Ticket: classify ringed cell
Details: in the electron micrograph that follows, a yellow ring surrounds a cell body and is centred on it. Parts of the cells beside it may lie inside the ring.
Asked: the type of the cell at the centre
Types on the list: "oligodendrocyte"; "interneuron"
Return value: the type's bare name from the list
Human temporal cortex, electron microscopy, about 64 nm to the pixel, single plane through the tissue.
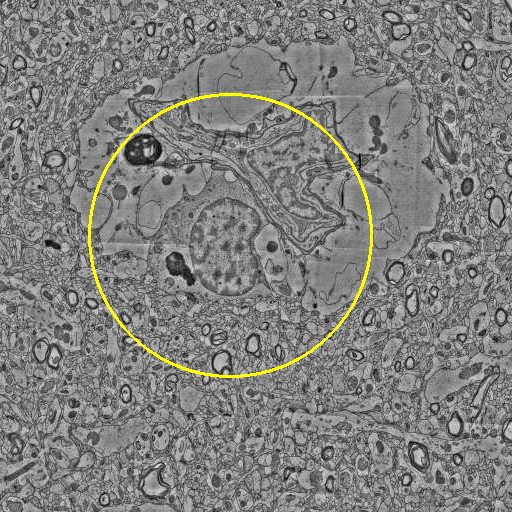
oligodendrocyte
